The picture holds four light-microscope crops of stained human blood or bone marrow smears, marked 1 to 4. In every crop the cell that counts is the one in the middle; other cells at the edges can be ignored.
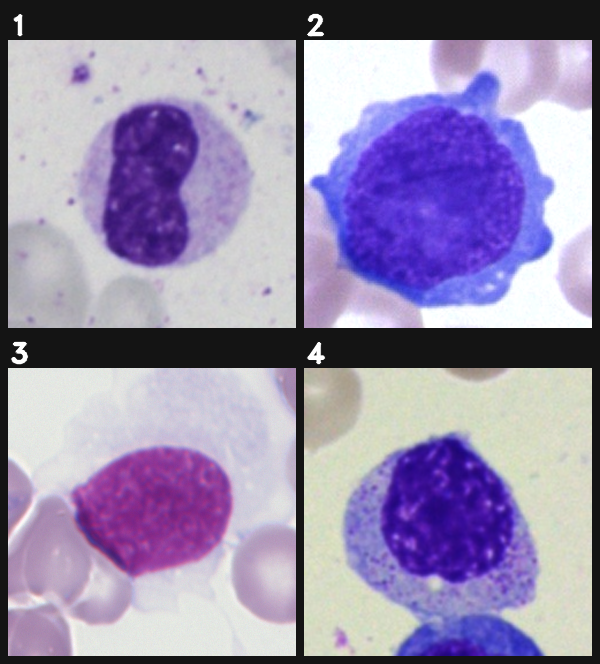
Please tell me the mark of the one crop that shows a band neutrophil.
1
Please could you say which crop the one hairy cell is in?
3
